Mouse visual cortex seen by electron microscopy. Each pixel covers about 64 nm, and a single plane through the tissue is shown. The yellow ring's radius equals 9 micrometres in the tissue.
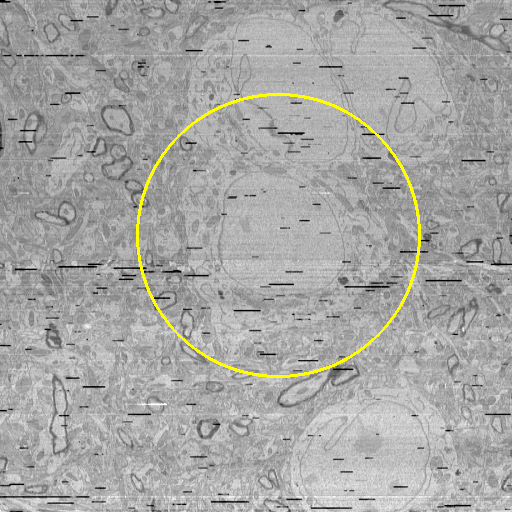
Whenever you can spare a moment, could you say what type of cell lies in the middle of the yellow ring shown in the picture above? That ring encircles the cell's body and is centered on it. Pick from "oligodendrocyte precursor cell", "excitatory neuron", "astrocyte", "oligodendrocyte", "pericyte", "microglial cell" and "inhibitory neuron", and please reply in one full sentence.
The cell whose body sits at the middle of the yellow ring is an excitatory neuron.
